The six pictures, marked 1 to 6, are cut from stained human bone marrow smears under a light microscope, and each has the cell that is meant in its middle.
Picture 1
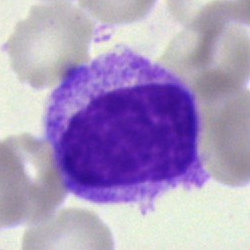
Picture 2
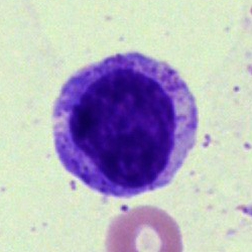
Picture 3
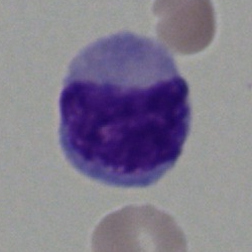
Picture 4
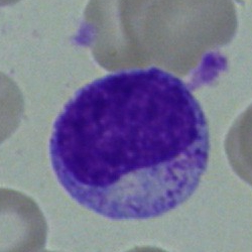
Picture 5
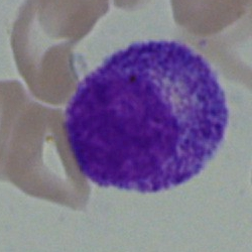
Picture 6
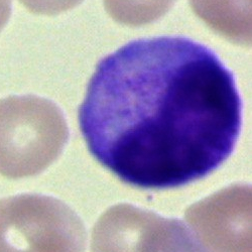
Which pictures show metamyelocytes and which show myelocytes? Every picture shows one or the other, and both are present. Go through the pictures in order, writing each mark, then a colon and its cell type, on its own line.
1: myelocyte
2: myelocyte
3: metamyelocyte
4: metamyelocyte
5: myelocyte
6: metamyelocyte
